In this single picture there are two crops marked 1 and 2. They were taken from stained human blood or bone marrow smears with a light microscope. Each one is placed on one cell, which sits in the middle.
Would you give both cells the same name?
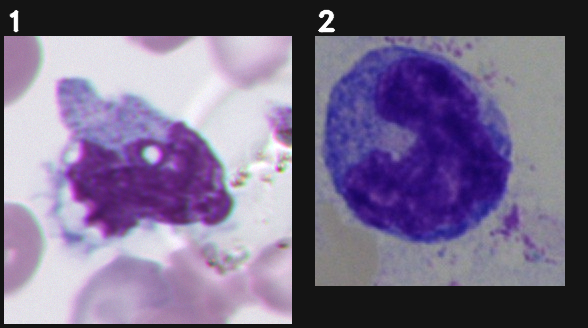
yes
